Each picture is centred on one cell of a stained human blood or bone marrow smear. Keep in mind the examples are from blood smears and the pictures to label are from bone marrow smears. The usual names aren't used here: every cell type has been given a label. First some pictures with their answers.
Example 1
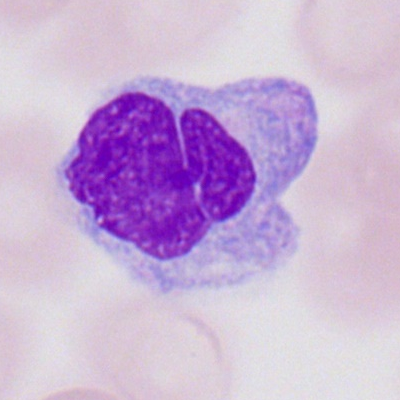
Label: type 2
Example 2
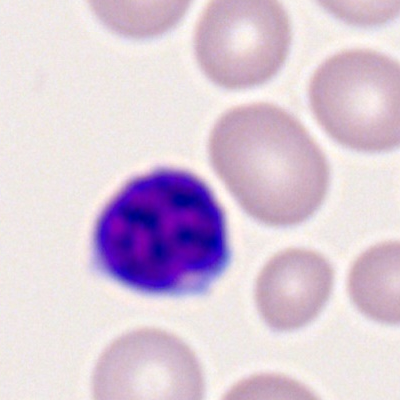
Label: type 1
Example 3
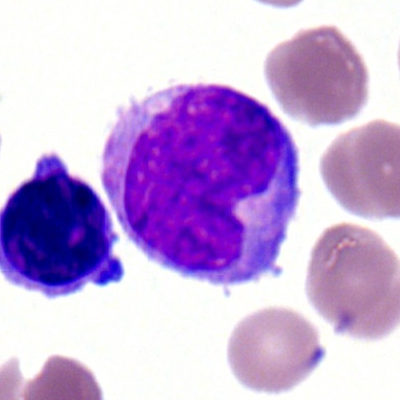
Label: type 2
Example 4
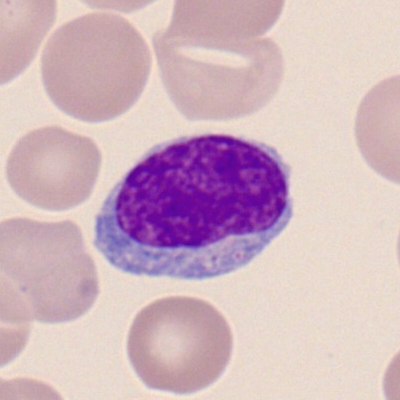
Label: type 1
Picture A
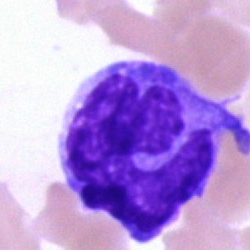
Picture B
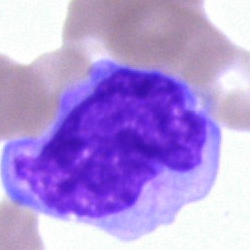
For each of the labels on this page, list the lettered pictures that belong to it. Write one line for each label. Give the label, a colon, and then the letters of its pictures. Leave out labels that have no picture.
type 2: A, B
